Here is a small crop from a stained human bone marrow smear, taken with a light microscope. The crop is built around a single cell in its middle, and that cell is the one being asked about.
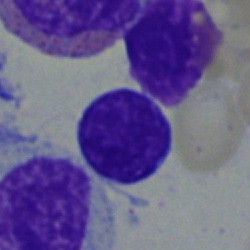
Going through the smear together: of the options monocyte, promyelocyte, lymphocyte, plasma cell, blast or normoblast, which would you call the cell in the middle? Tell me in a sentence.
The cell under consideration, at the middle of the crop, is a lymphocyte.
